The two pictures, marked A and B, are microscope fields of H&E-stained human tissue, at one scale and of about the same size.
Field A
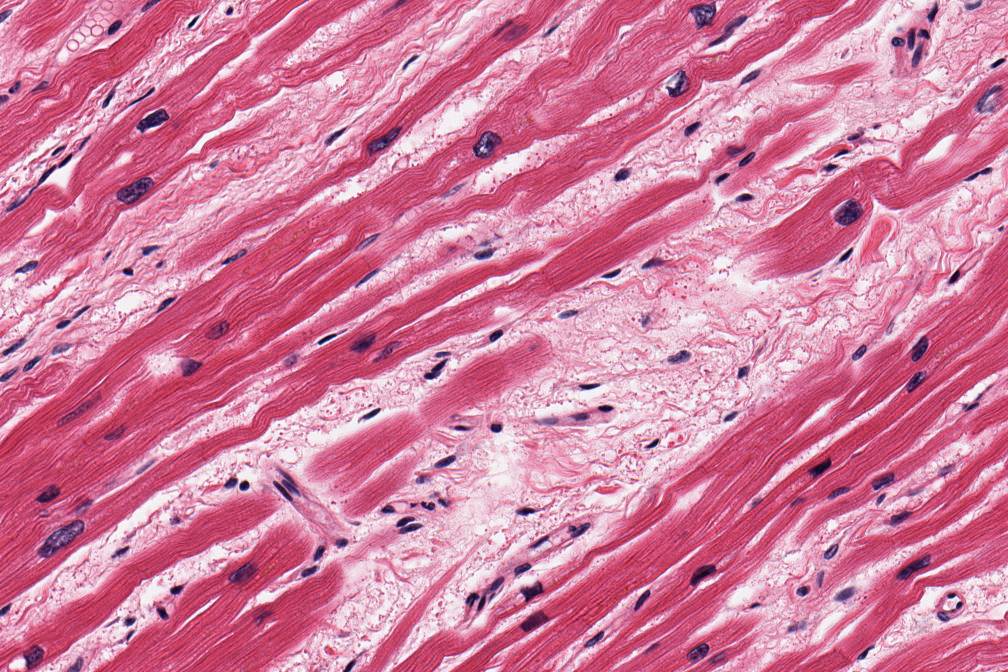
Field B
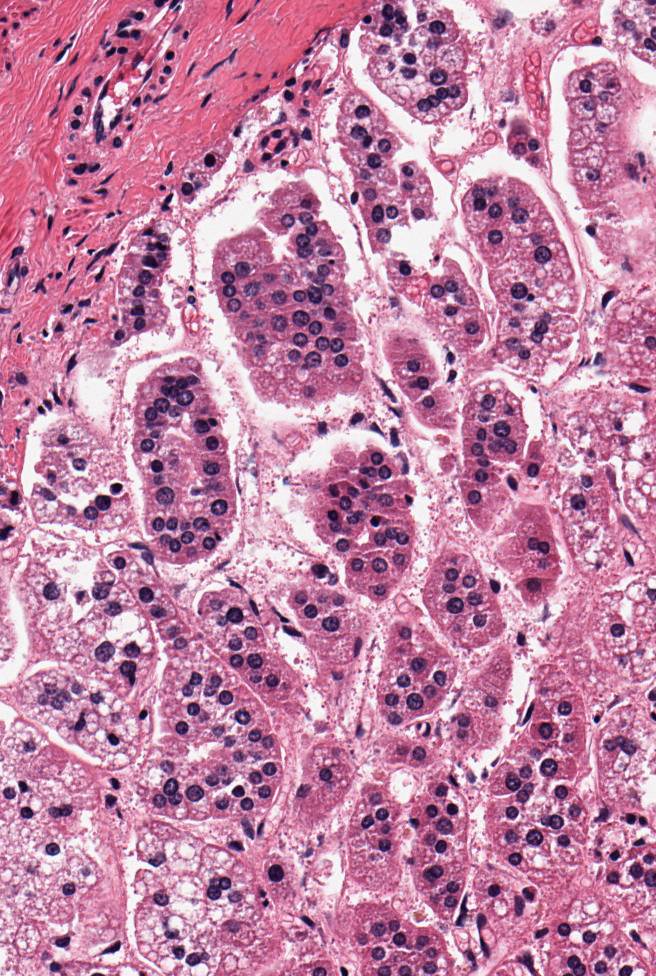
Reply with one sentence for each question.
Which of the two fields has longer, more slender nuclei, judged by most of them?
The nuclei are more elongated in field A.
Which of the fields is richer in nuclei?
More nuclei lie in field B than in field A.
